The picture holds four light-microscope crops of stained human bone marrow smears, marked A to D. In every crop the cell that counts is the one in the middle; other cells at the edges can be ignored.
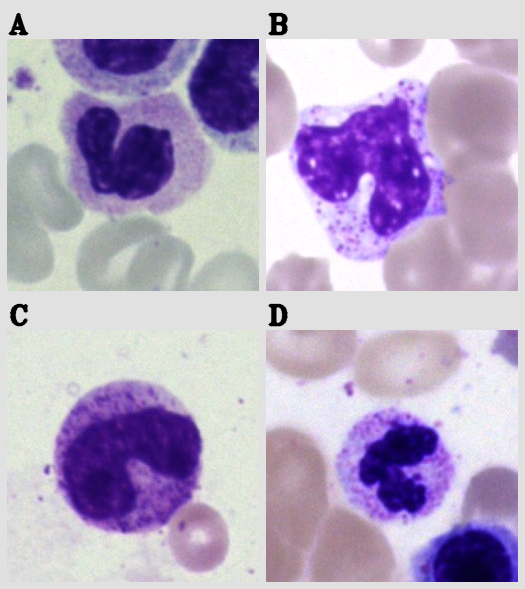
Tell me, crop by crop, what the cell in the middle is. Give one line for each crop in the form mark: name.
A: segmented neutrophil
B: band neutrophil
C: band neutrophil
D: segmented neutrophil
